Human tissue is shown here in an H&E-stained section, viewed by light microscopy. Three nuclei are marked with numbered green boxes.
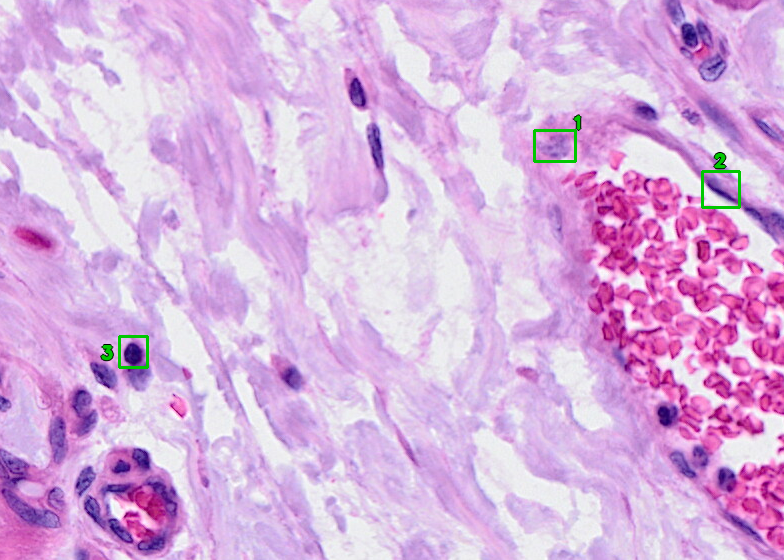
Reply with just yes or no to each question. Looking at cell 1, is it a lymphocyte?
no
